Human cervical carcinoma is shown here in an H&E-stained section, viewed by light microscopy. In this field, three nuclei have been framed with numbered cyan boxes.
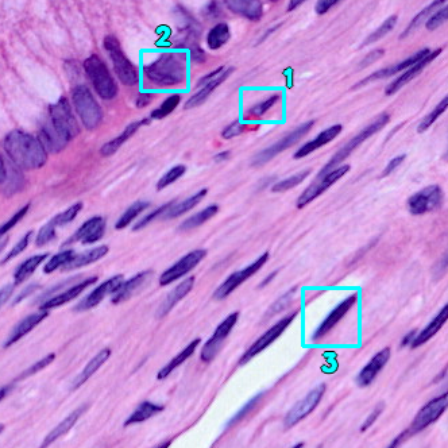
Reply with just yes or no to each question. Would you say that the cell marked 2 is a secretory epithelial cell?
yes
